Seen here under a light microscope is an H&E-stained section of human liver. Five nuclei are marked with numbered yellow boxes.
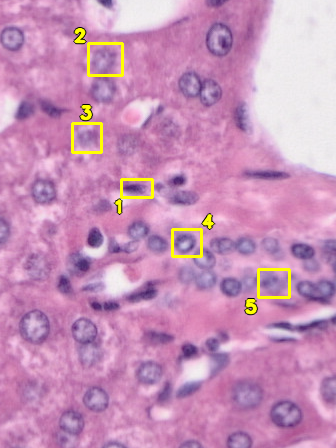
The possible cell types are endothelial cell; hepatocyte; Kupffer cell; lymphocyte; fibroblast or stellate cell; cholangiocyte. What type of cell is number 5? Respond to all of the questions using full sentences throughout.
The numeral 5 marks a cholangiocyte in this section.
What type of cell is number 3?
Cell 3, as marked in the section, is a hepatocyte.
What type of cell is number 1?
In the marked set, the cell given number 1 is a fibroblast or stellate cell.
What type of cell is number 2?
The cell tagged with 2 in this tissue section is a hepatocyte.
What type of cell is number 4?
In this section, number 4 marks a cholangiocyte.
